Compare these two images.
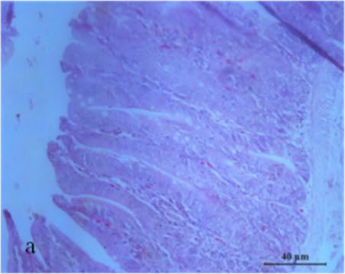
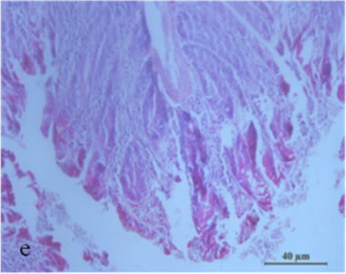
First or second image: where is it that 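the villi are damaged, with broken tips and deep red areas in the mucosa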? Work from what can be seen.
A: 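Second image: mucosal folds are ragged, with detached fragments in the lumen and intensely red-stained areas. First image: mucosal folds are intact and evenly pale purple-pink. The answer: the second image.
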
